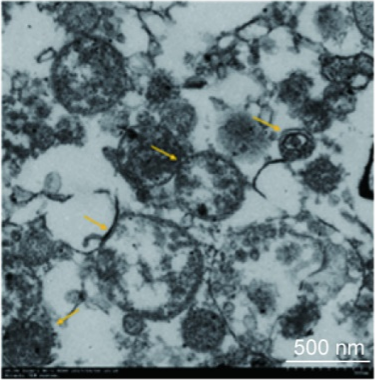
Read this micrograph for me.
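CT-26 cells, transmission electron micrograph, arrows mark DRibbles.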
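Round membrane-bound vesicles of varying size lie among loose membrane fragments and granular debris, some bounded by double membranes forming spheroids. Their contents are granular and grey, some vesicles being densely filled and others paler. A small vesicle on the right shows a distinct double-layered rim around a dense core. Thin, dark, curved membrane strands run between the vesicles across a pale background.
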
